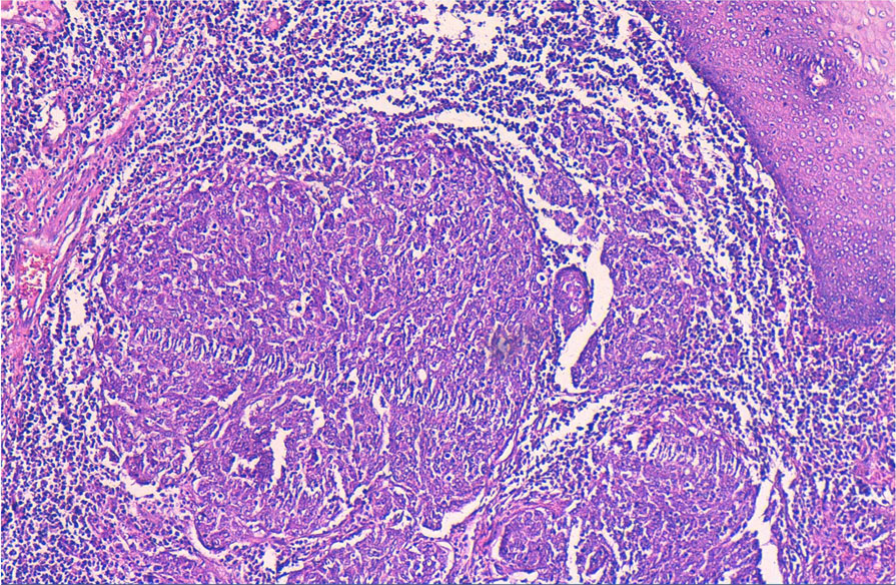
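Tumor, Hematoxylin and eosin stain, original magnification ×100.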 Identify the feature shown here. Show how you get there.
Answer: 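Large rounded aggregates of closely packed cells with paler, more eosinophilic cytoplasm than the surrounding cells. The aggregates have fairly sharp borders and are separated from the surrounding tissue by thin clefts. Cells within the aggregates are larger with bigger nuclei than the small dark cells around them.
Conclusion: compact nests and sheets of epithelial cells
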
